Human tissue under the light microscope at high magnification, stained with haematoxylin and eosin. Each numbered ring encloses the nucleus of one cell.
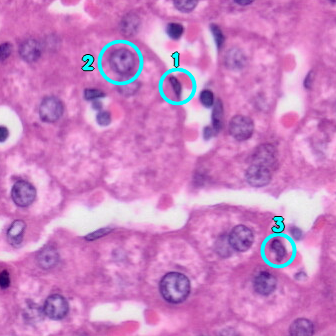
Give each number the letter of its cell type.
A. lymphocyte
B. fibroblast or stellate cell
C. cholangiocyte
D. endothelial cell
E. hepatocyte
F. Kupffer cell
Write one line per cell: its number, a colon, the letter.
1: D
2: E
3: F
